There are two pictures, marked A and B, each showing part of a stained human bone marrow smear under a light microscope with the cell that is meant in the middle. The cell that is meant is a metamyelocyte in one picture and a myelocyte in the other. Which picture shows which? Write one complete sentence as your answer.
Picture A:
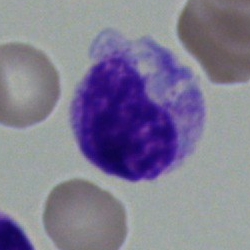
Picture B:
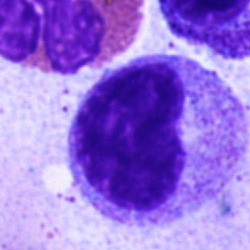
In picture A the cell is a metamyelocyte; in picture B, a myelocyte.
